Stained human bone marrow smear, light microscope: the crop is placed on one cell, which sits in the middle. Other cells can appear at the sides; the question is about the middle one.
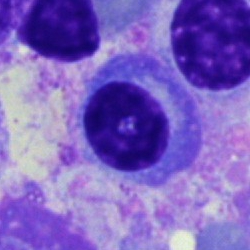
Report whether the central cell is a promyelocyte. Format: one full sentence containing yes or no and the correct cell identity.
No, the cell placed at the center is a plasma cell rather than a promyelocyte.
